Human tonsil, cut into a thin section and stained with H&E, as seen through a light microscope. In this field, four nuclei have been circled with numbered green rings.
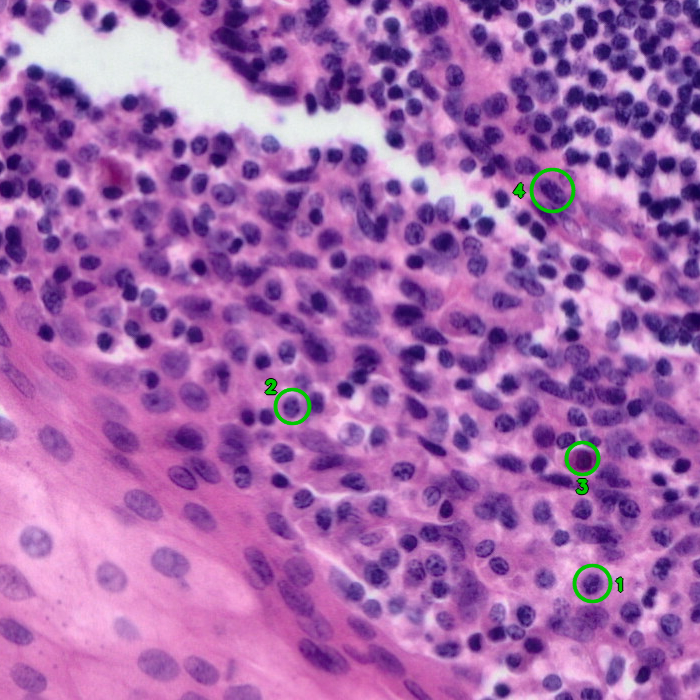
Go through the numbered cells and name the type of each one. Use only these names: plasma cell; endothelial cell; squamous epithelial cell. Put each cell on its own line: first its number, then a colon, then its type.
1: plasma cell
2: plasma cell
3: plasma cell
4: endothelial cell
